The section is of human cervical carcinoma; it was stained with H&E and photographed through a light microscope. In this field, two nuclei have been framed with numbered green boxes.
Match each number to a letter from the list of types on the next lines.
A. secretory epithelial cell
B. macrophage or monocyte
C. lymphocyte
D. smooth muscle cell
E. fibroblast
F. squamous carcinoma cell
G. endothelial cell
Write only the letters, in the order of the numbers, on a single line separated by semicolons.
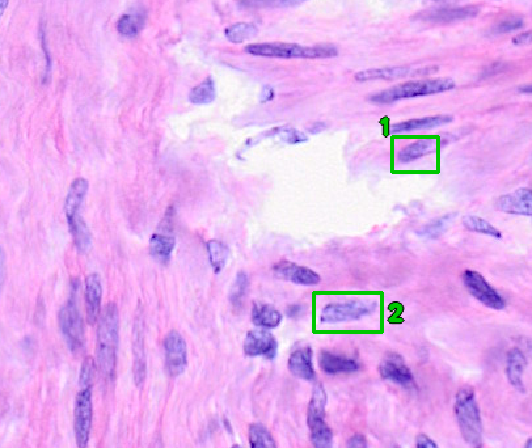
D; E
